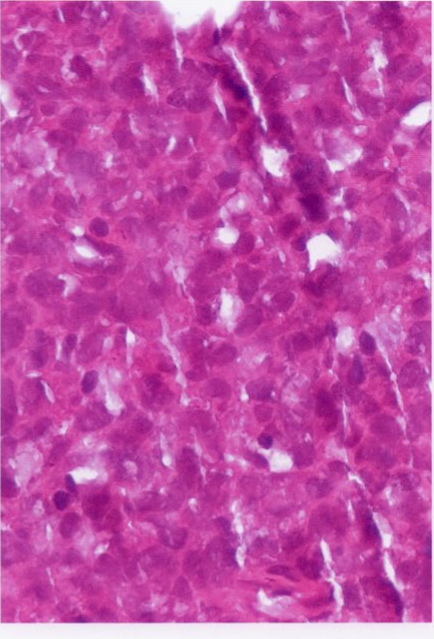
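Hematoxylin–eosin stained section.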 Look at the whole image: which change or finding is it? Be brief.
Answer: Diffuse proliferation of medium to large cells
